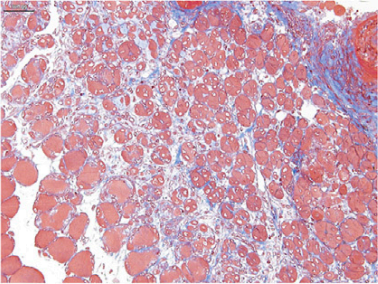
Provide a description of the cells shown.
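Cross-section of skeletal muscle in which the red-stained fibres are small, rounded and unequal in size, lying loosely apart. Broad bands of blue-stained fibrous tissue and pale loose interstitium fill the spaces between them, densest toward the upper right.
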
